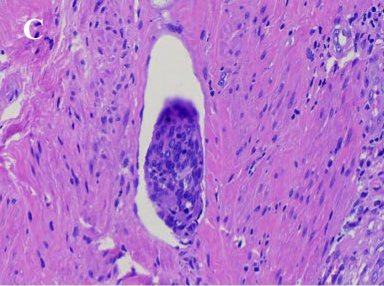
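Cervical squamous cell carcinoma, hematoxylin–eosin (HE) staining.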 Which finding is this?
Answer: A cluster of tumor cells.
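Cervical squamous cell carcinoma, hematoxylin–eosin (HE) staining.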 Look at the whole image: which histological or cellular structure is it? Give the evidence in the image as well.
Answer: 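A clear, elongated oval lumen lies in the centre of the pink stroma. Its edge is lined by a thin layer of flat cells with flattened nuclei. The lumen holds a detached cell cluster.
Hence: the space lined by endothelial cells.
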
